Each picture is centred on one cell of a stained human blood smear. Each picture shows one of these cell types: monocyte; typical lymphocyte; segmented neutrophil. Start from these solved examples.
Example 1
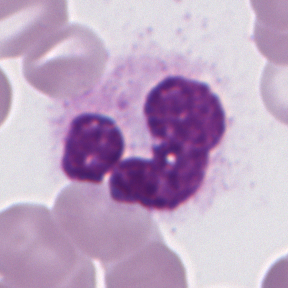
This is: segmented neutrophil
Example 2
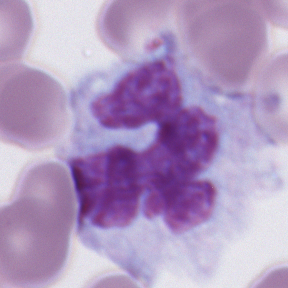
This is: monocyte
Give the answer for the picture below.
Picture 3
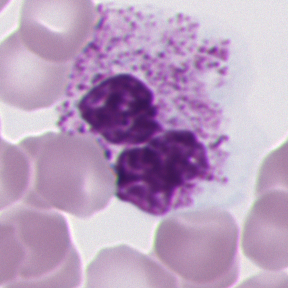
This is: segmented neutrophil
